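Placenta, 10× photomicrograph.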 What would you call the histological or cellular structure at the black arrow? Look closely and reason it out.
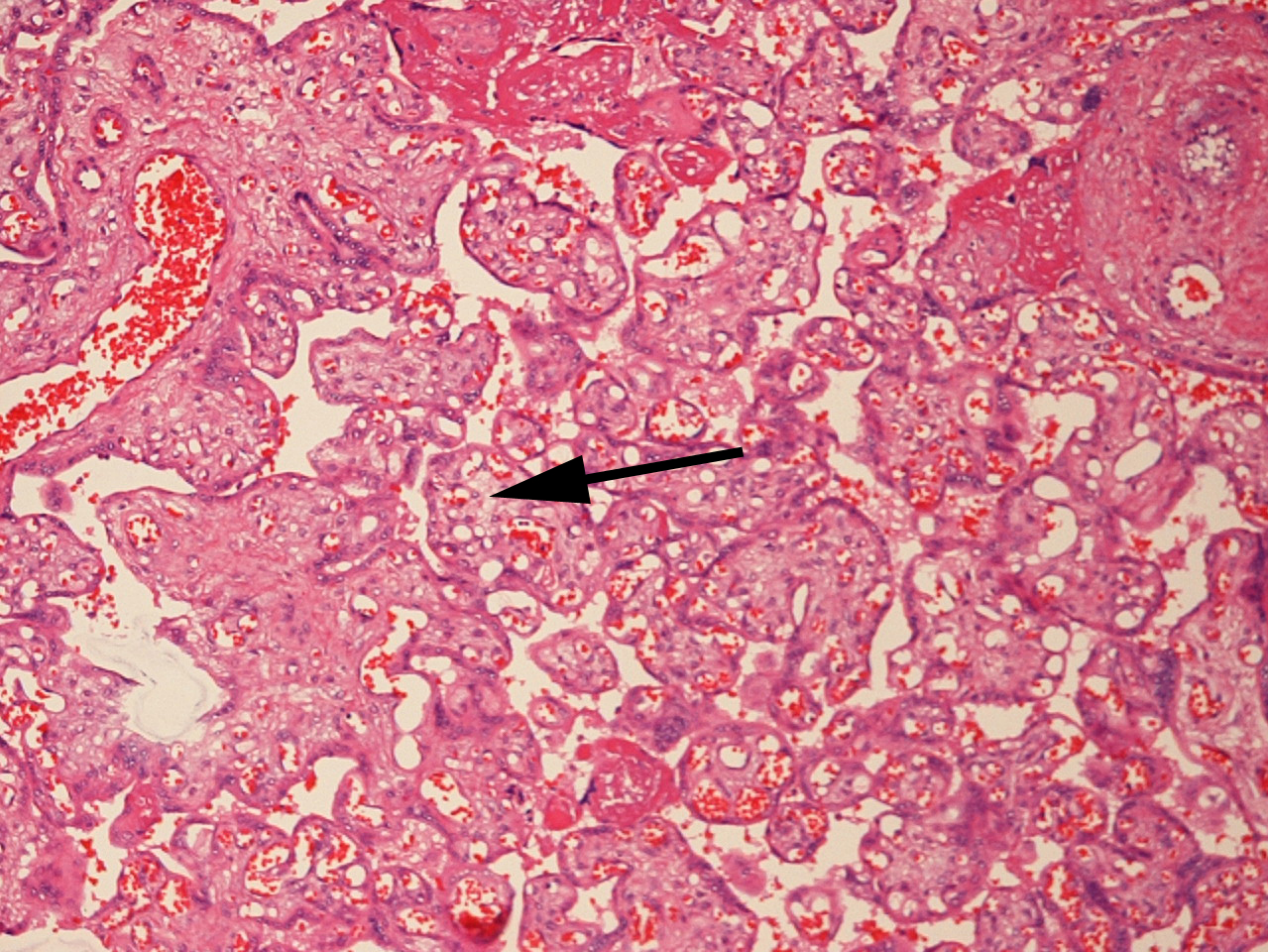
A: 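Multiple vascular channels. The arrow tip lies on a villus holding many small round lumina. Several of these lumina contain red-staining corpuscles.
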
